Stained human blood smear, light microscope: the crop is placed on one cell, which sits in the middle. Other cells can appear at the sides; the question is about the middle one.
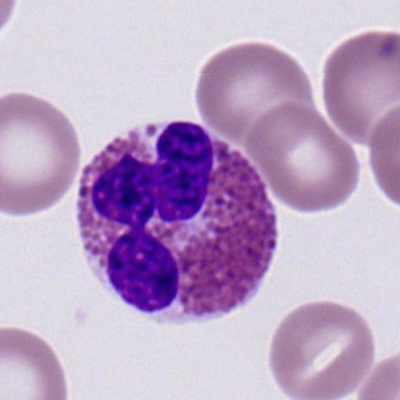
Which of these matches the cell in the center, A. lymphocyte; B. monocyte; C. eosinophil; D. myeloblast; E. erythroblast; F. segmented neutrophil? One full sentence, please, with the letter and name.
Option C is the right choice, the central cell being an eosinophil.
